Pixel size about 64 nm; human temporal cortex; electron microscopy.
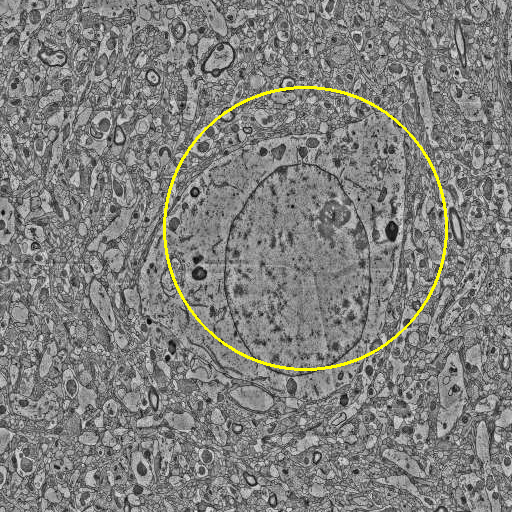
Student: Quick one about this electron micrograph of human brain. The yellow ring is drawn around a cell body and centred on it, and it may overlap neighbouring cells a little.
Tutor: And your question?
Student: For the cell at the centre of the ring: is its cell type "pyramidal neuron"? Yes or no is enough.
yes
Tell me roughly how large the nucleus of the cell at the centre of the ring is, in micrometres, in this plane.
The nucleus of the ringed cell is approximately 14 by 9 micrometres in this plane.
